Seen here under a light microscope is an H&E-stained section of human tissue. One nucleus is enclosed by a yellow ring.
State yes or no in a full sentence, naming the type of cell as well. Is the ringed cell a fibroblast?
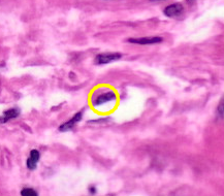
Yes, what the ringed cell represents in this tissue is a fibroblast.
